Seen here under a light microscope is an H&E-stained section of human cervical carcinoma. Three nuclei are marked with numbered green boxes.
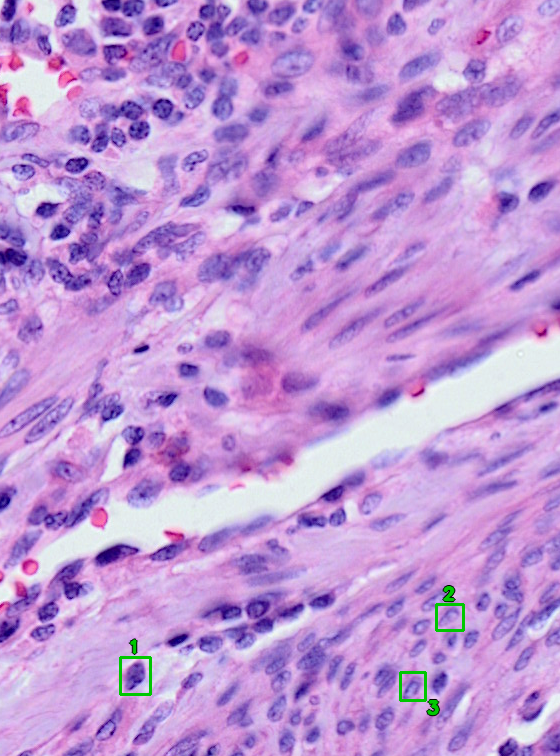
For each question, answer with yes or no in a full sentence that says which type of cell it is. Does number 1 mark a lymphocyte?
Yes, for number 1, the cell is a lymphocyte.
